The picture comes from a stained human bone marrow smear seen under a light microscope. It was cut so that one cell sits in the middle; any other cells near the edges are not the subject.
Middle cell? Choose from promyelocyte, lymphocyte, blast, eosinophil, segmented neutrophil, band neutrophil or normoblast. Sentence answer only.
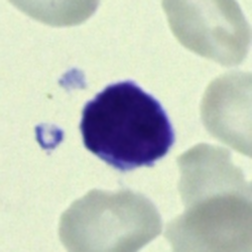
The middle position in this crop is taken by a lymphocyte.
